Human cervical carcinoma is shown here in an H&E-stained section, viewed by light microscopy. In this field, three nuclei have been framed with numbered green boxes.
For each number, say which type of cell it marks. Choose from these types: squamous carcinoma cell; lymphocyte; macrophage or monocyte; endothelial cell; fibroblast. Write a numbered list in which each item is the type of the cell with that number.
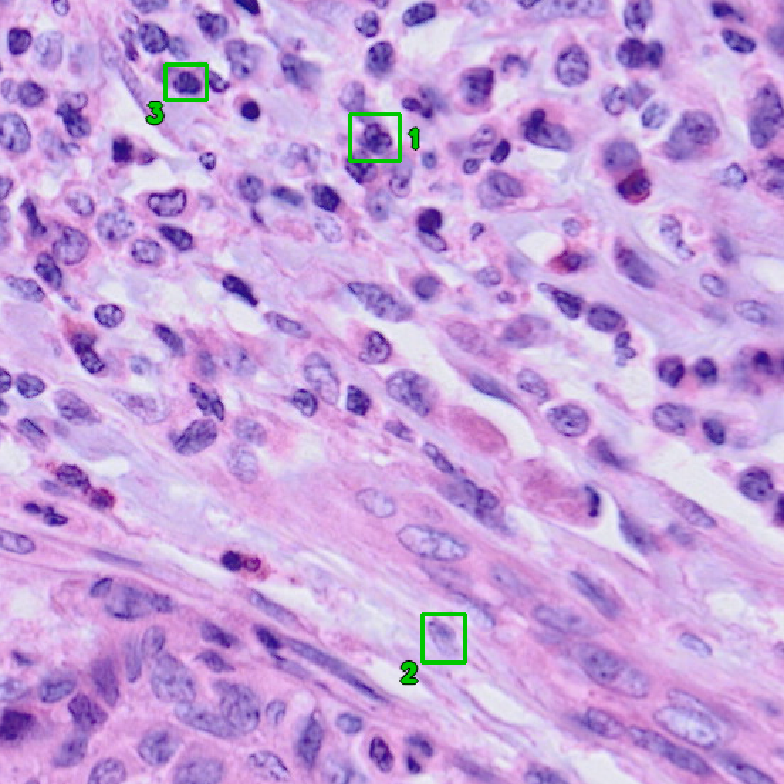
1. lymphocyte
2. fibroblast
3. lymphocyte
